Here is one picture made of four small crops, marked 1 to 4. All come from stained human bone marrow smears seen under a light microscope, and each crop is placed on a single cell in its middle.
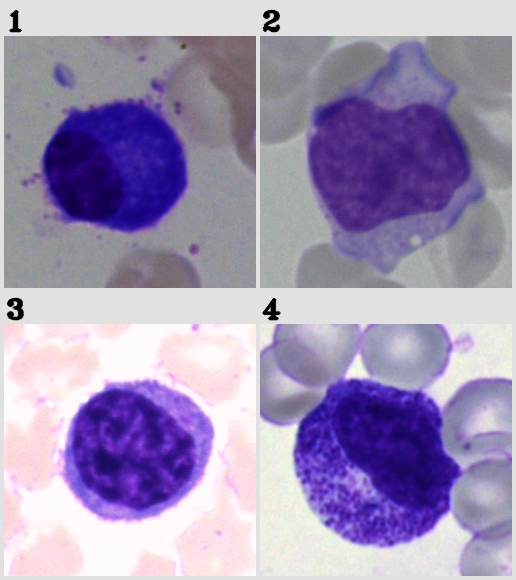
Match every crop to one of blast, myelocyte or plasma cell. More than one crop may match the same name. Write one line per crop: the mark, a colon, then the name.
1: plasma cell
2: blast
3: plasma cell
4: myelocyte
